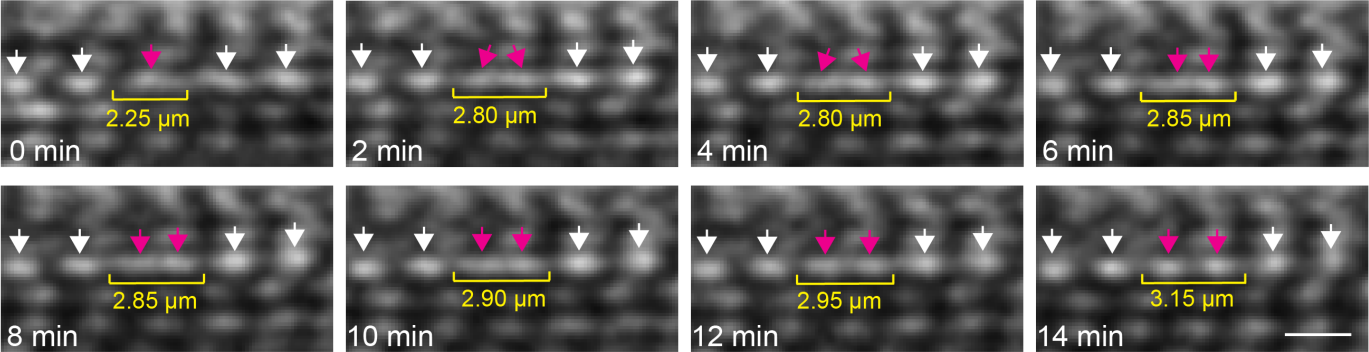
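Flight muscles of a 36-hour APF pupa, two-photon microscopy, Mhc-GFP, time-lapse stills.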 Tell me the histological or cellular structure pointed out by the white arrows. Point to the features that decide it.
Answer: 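The white arrows point at bright spots that repeat at regular intervals along a horizontal band. That points to this answer: myosin filament stacks.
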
